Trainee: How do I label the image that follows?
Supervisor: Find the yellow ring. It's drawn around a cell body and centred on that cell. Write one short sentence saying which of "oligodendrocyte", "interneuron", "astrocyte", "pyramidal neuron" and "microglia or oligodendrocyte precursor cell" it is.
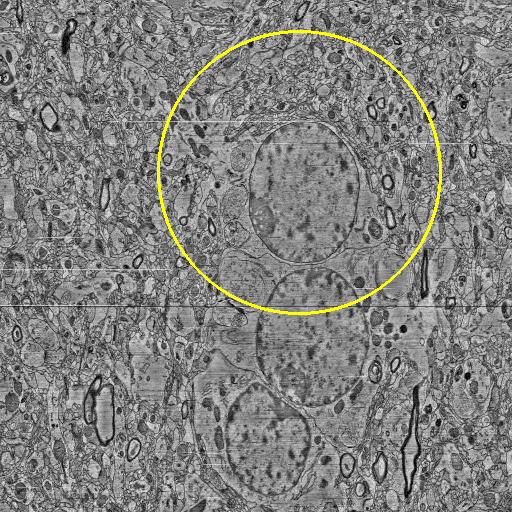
This is the cell body of an astrocyte.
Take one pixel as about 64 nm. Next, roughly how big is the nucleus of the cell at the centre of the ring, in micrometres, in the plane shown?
Approximately 9 by 7 micrometers in this plane.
